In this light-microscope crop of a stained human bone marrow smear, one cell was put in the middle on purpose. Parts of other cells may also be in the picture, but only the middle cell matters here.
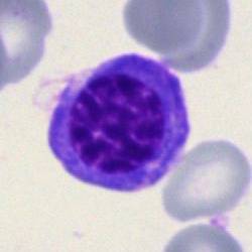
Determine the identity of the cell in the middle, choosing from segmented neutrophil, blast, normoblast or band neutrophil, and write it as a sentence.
In the center of this field lies a normoblast.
